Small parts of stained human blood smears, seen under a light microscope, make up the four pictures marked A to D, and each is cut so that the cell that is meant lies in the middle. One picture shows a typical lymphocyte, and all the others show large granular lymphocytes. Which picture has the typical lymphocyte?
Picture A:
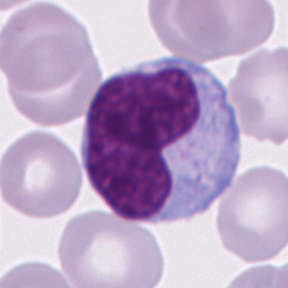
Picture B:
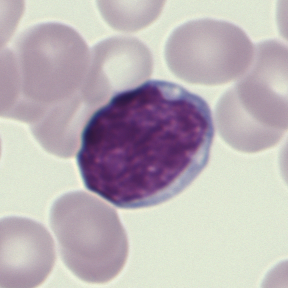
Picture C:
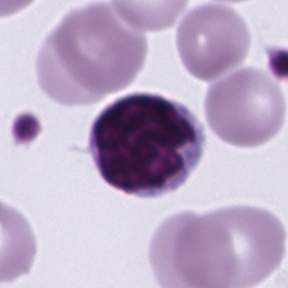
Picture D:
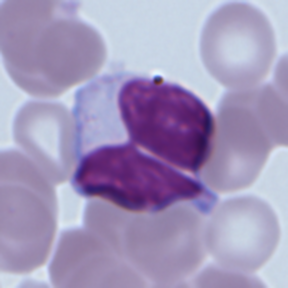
A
